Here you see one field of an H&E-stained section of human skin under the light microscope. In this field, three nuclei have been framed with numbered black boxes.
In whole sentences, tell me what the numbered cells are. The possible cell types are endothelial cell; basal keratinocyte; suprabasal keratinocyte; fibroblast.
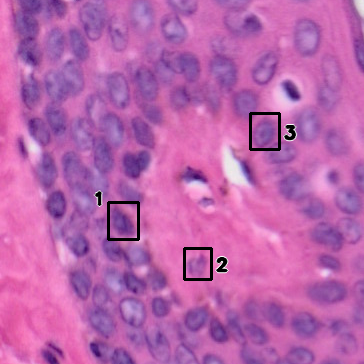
Cell 1 is a basal keratinocyte, cell 2 is a fibroblast and cell 3 is a basal keratinocyte.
